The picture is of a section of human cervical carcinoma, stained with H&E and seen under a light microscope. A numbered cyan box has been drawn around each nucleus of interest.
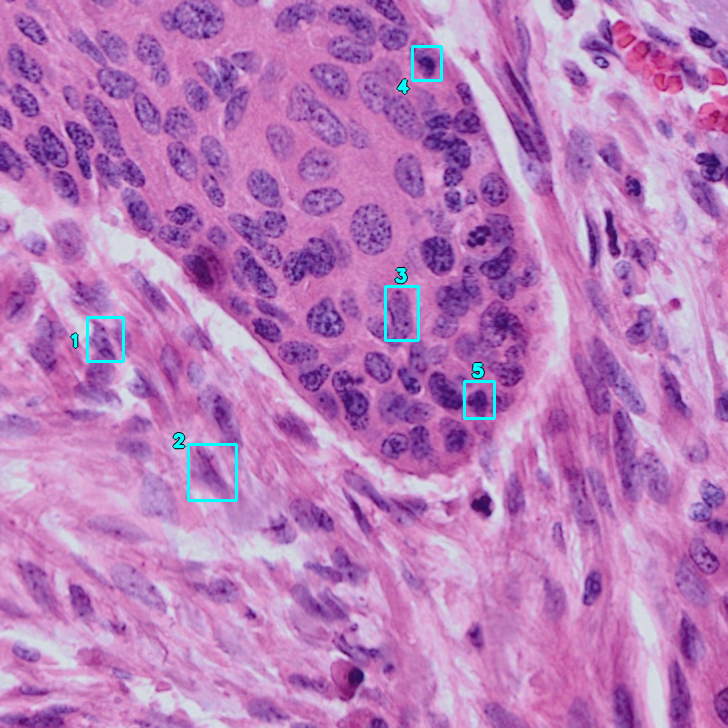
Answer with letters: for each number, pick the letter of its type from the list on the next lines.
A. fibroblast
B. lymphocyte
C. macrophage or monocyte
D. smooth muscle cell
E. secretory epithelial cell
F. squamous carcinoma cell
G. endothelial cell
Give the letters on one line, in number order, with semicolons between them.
A; A; F; F; F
